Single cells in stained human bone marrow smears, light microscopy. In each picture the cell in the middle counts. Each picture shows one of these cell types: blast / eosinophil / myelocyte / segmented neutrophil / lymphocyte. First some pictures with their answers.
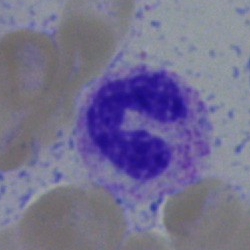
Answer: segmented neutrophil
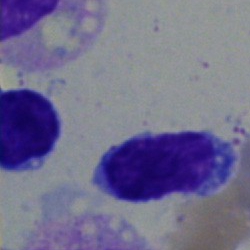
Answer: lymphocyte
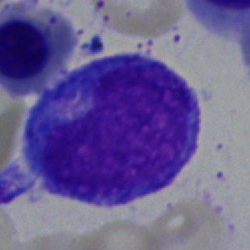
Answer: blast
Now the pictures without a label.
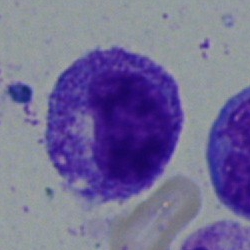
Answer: myelocyte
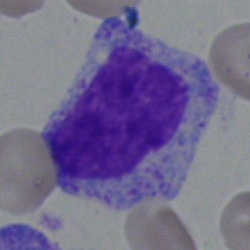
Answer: myelocyte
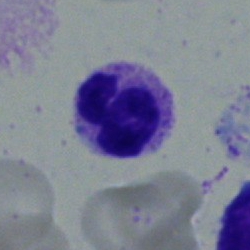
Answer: segmented neutrophil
